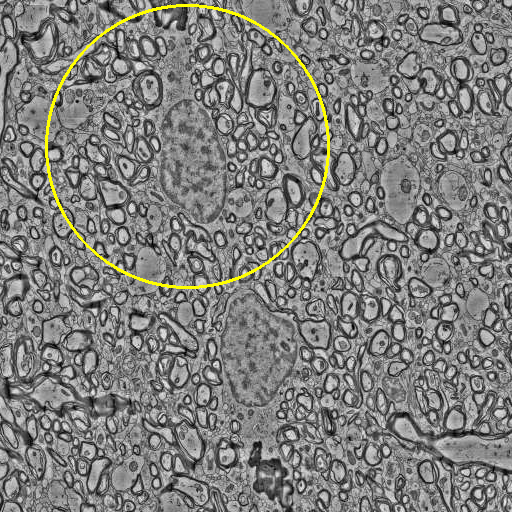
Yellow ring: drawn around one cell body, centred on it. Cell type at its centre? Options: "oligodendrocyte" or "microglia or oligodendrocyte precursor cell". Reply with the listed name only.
oligodendrocyte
